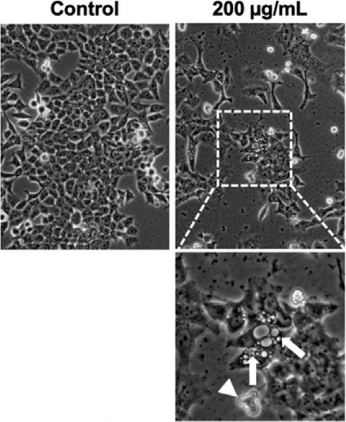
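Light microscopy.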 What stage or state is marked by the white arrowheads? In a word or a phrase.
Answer: Dying cells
